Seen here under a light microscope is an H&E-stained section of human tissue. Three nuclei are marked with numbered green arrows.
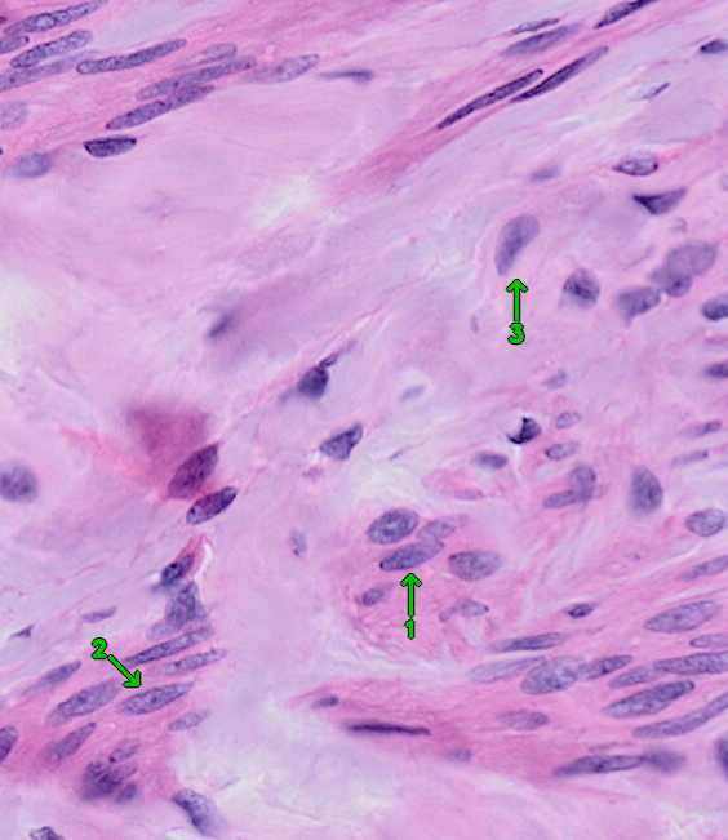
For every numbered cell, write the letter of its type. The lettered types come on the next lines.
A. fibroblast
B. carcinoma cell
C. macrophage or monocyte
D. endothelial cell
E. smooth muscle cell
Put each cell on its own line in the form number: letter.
1: E
2: E
3: A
